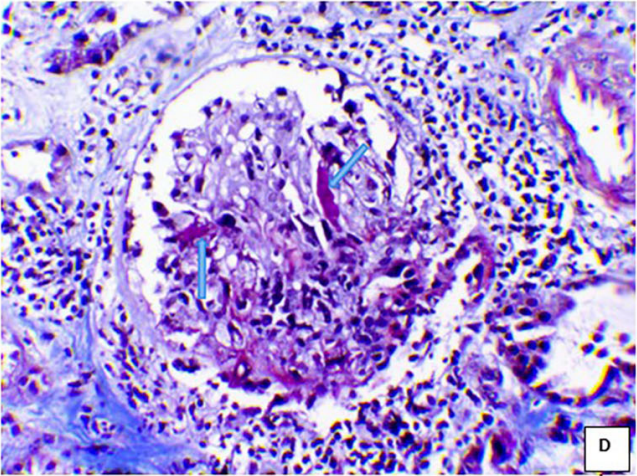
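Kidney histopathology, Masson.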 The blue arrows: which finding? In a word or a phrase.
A: Segmental fibrinoid necrosis of the glomerulus.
